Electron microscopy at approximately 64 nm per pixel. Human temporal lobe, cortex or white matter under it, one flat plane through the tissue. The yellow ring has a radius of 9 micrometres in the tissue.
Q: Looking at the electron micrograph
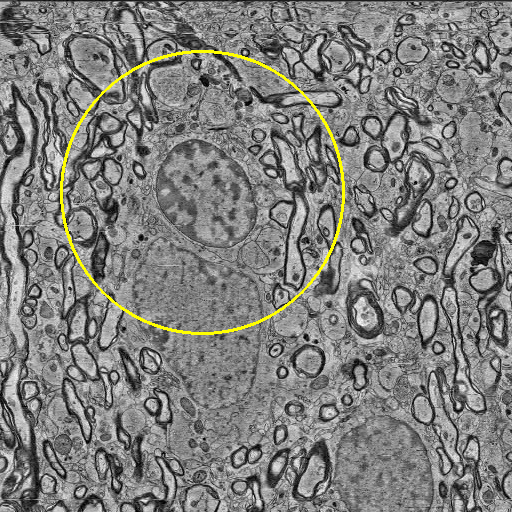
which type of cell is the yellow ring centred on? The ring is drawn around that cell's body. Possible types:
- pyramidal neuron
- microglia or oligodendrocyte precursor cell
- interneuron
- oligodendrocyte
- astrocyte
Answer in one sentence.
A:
The yellow ring is centred on a microglial cell or oligodendrocyte precursor cell.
